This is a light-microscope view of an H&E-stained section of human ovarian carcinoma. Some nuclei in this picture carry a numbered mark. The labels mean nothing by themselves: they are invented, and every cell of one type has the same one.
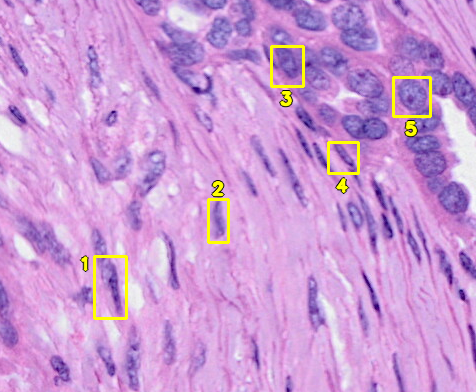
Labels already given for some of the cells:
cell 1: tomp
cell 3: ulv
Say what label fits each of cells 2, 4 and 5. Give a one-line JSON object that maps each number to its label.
{"2": "tomp", "4": "tomp", "5": "ulv"}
